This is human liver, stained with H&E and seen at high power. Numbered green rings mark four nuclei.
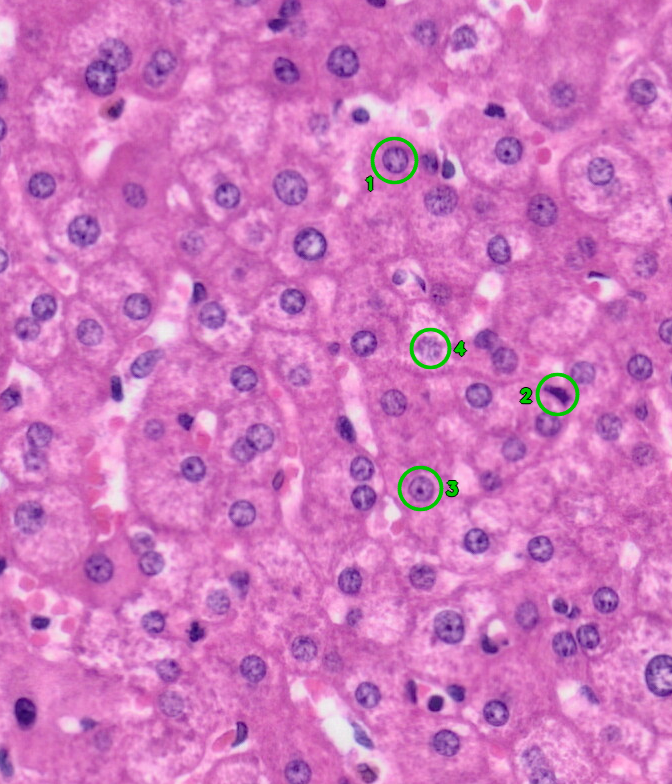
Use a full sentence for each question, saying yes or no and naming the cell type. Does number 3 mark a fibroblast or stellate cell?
No, the cell identified by number 3 is a hepatocyte, not a fibroblast or stellate cell.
